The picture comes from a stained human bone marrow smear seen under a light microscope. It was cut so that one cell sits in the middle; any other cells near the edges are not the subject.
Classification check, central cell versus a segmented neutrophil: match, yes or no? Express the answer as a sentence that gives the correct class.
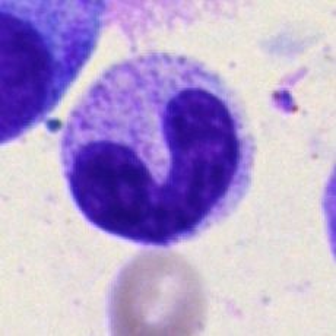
No, instead of a segmented neutrophil, the middle cell is a band neutrophil.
